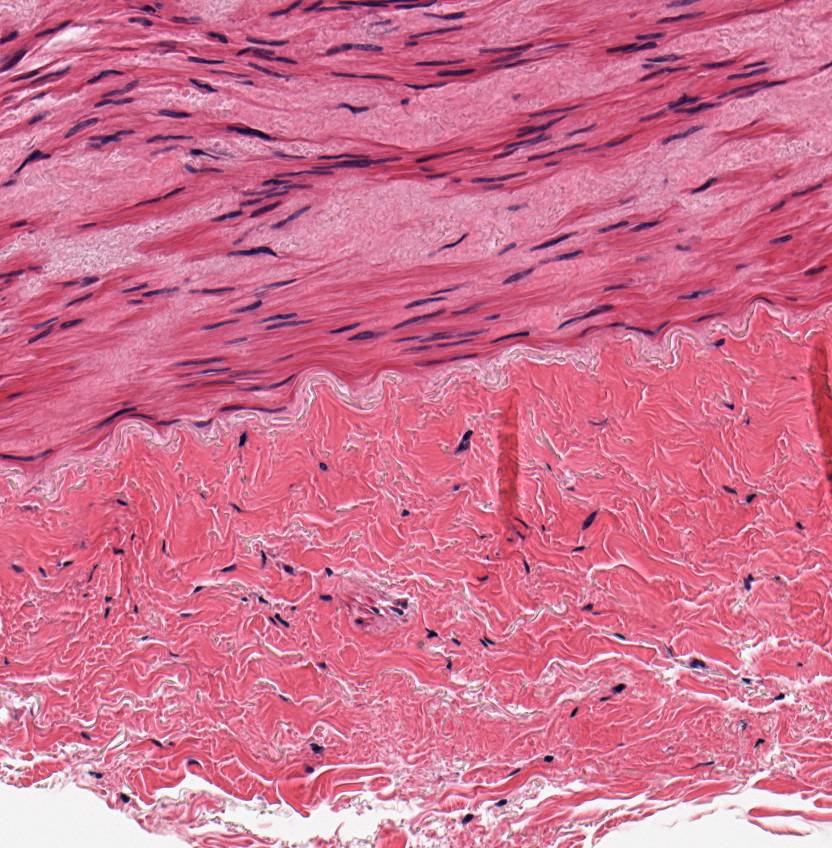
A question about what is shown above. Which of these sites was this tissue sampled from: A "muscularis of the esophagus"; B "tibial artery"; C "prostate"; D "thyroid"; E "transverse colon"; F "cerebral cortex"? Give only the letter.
B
